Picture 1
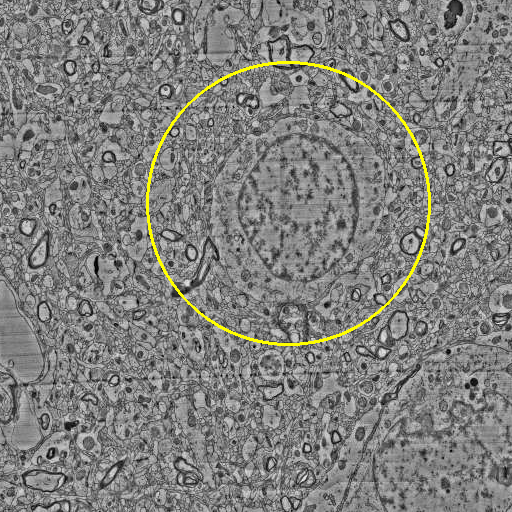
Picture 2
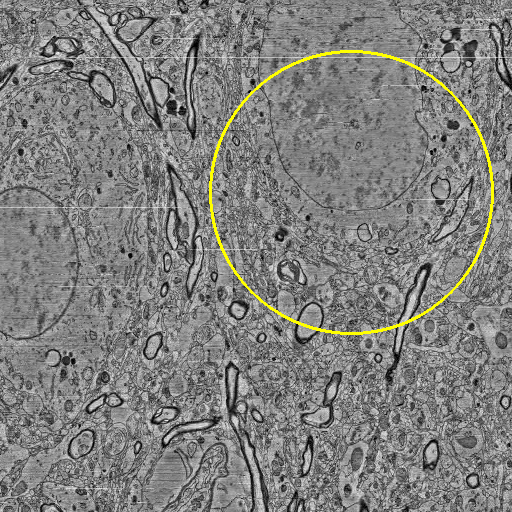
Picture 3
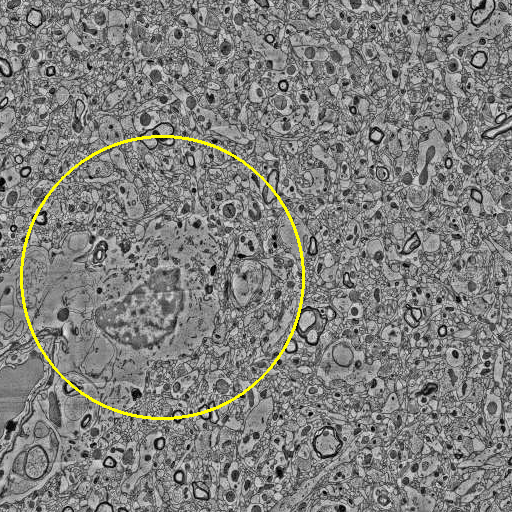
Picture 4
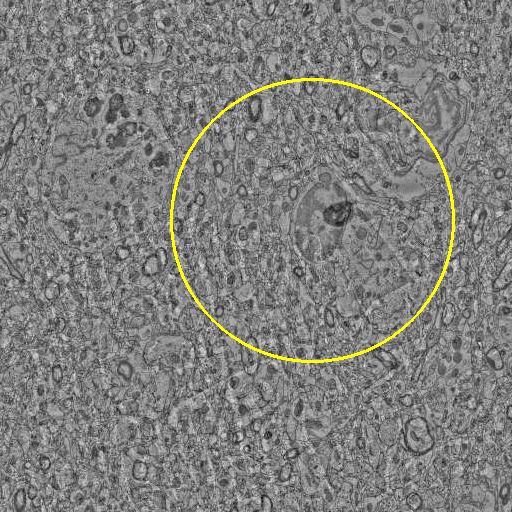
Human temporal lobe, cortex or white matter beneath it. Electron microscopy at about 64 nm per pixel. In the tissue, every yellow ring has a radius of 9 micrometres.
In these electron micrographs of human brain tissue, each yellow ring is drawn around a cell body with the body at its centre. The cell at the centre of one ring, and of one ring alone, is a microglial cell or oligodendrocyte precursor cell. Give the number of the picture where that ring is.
3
